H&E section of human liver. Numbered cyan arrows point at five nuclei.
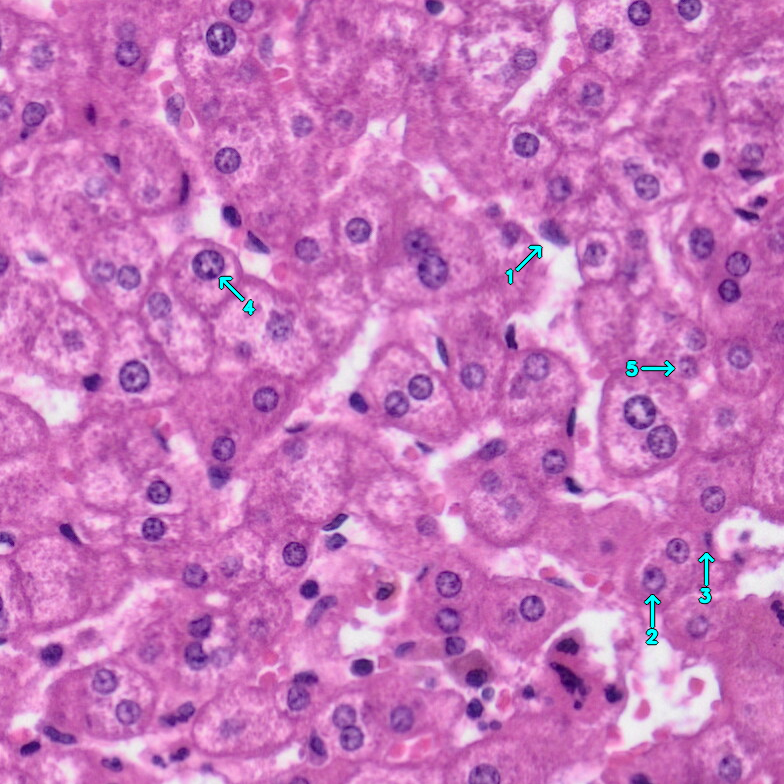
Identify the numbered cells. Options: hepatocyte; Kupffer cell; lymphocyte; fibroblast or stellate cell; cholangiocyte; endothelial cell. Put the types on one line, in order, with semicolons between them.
endothelial cell; hepatocyte; fibroblast or stellate cell; hepatocyte; hepatocyte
